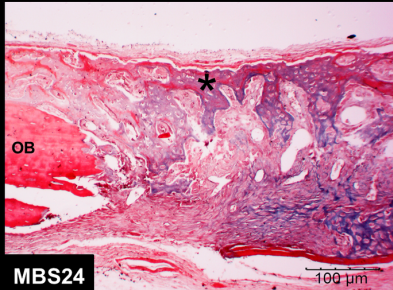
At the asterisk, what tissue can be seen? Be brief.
new bone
